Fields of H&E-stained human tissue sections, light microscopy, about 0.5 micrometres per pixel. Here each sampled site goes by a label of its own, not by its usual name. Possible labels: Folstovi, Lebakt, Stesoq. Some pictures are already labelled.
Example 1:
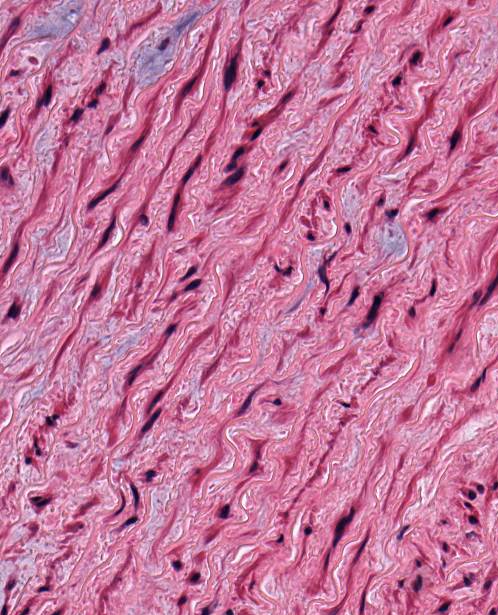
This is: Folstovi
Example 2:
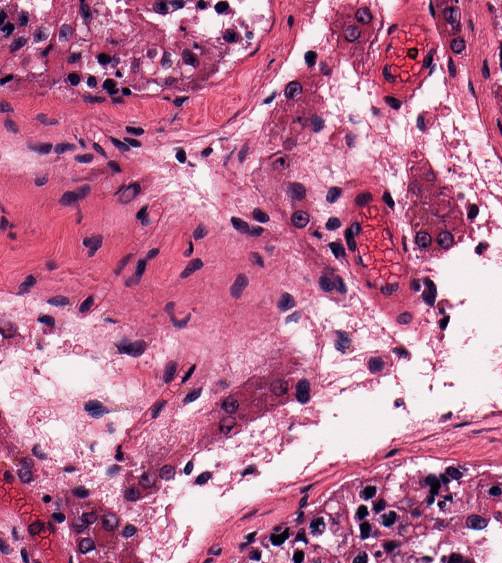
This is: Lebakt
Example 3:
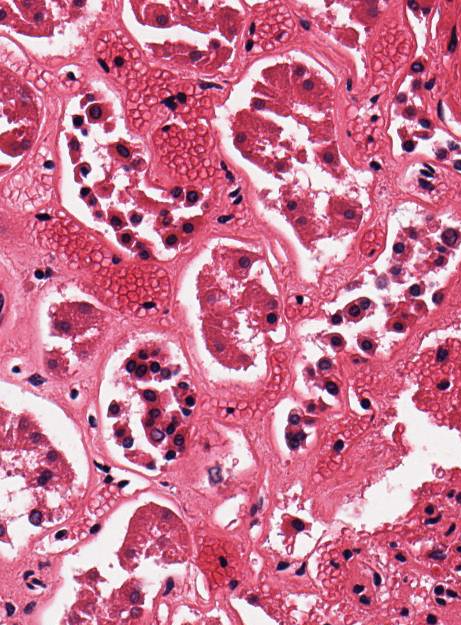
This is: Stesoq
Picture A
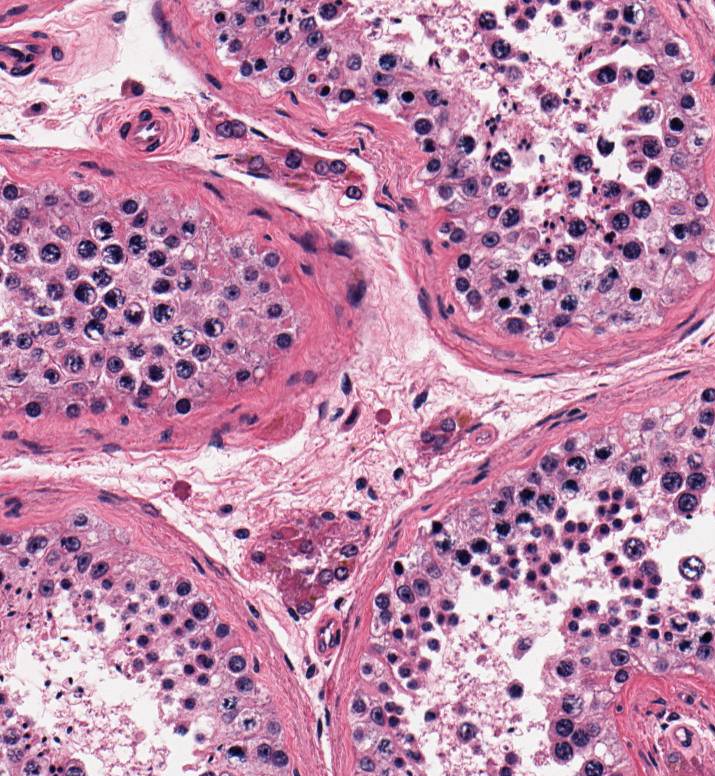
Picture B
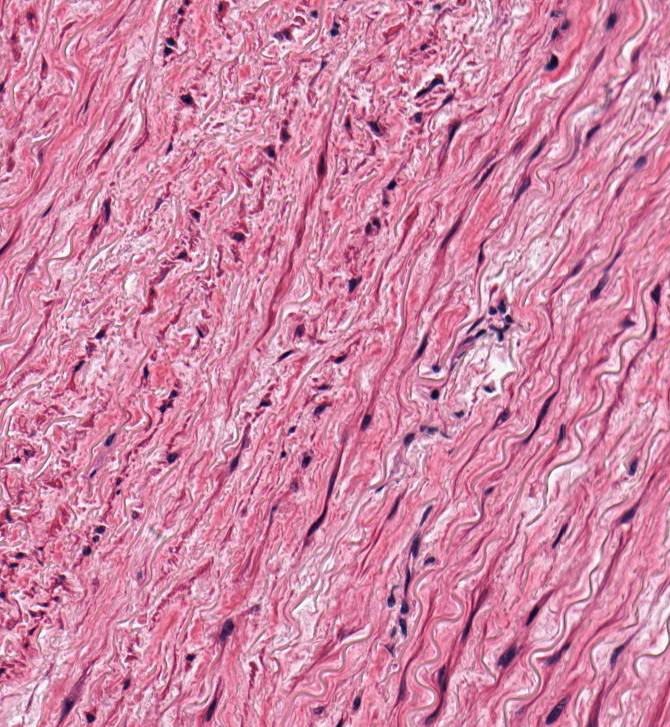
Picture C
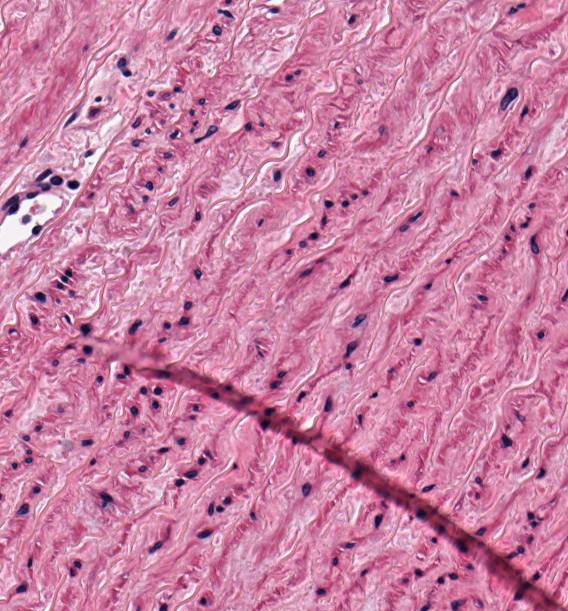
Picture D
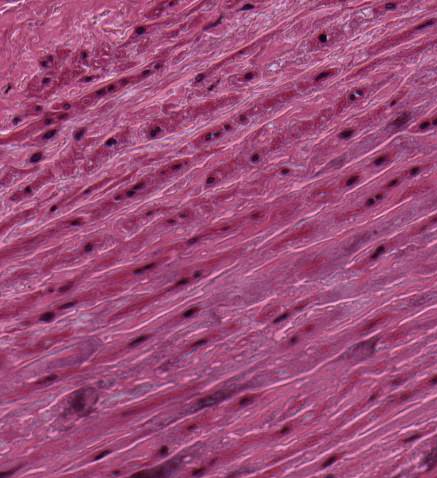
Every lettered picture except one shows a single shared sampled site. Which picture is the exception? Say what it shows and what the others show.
Exception: A, showing Lebakt. Remaining pictures: Folstovi.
